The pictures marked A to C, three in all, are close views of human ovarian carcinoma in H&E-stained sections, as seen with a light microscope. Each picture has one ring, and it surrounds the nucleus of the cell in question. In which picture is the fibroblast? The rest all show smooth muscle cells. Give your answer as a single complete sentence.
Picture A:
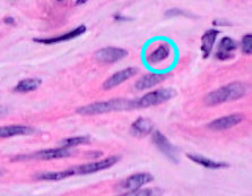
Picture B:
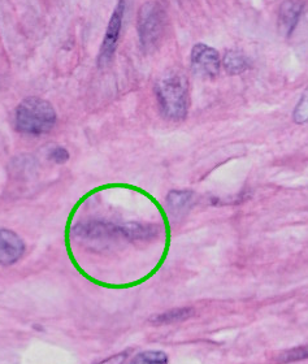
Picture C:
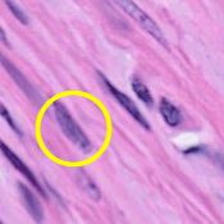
The cell in picture B is the fibroblast.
